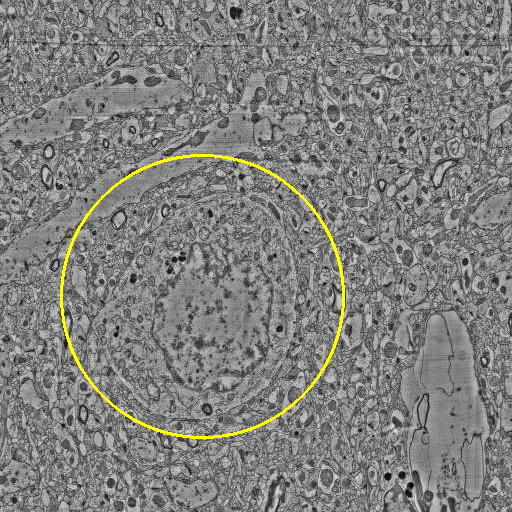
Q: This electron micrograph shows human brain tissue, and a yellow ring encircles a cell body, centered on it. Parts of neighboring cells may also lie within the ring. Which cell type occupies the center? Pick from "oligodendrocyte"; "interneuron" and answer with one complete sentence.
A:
What sits at the ring's center in this micrograph is an interneuron, among those choices.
